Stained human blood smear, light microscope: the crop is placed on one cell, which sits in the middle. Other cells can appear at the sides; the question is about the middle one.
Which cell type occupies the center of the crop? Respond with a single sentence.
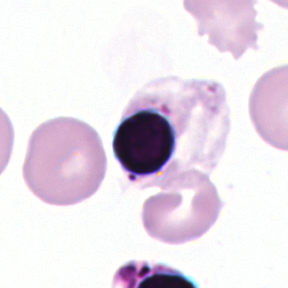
In the middle of this smear crop, the cell is a normoblast.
